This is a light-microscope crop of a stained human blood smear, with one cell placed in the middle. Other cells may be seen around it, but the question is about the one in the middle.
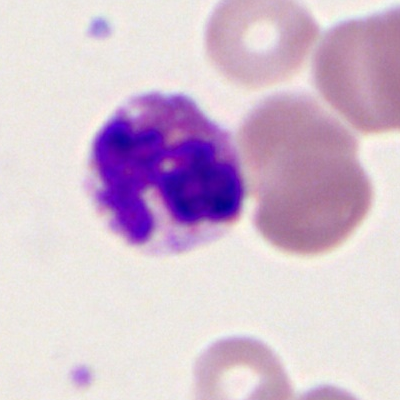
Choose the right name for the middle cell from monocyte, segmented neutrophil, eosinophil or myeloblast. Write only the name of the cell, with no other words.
eosinophil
